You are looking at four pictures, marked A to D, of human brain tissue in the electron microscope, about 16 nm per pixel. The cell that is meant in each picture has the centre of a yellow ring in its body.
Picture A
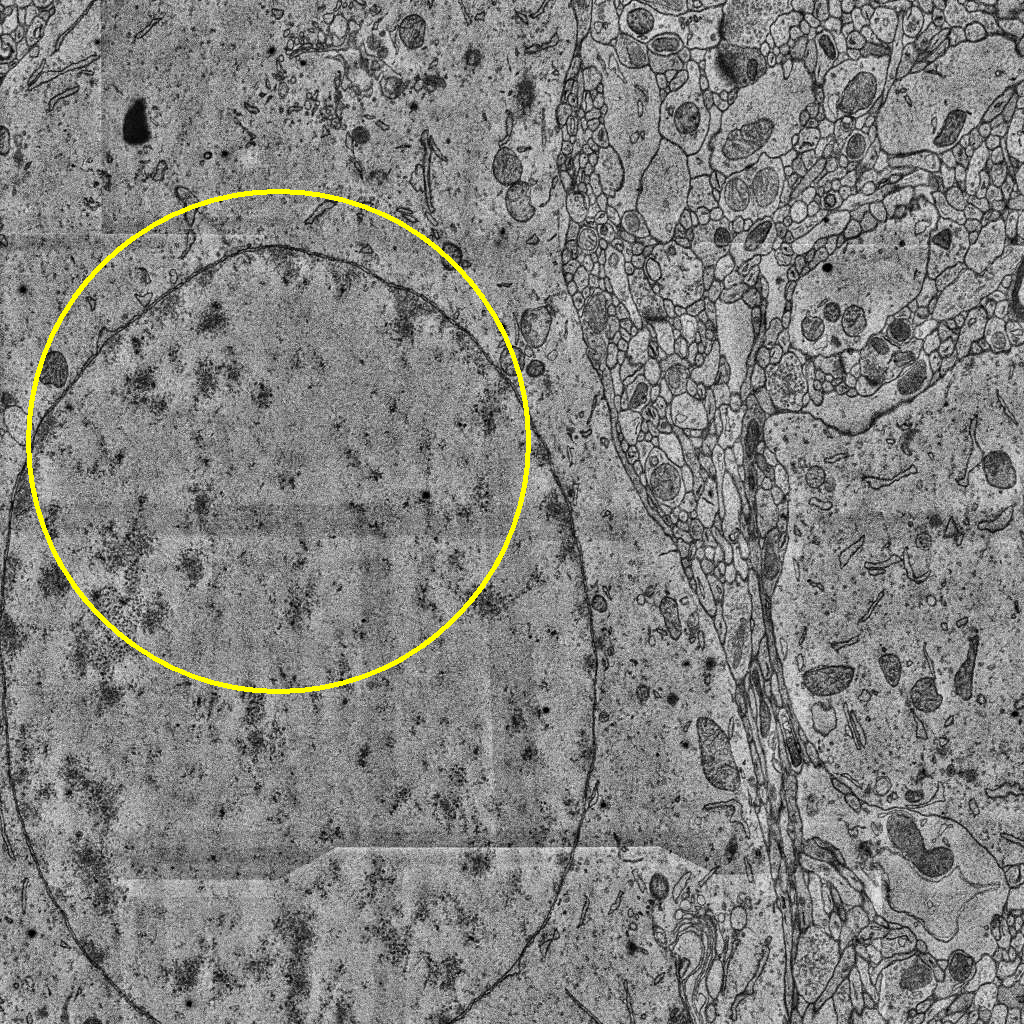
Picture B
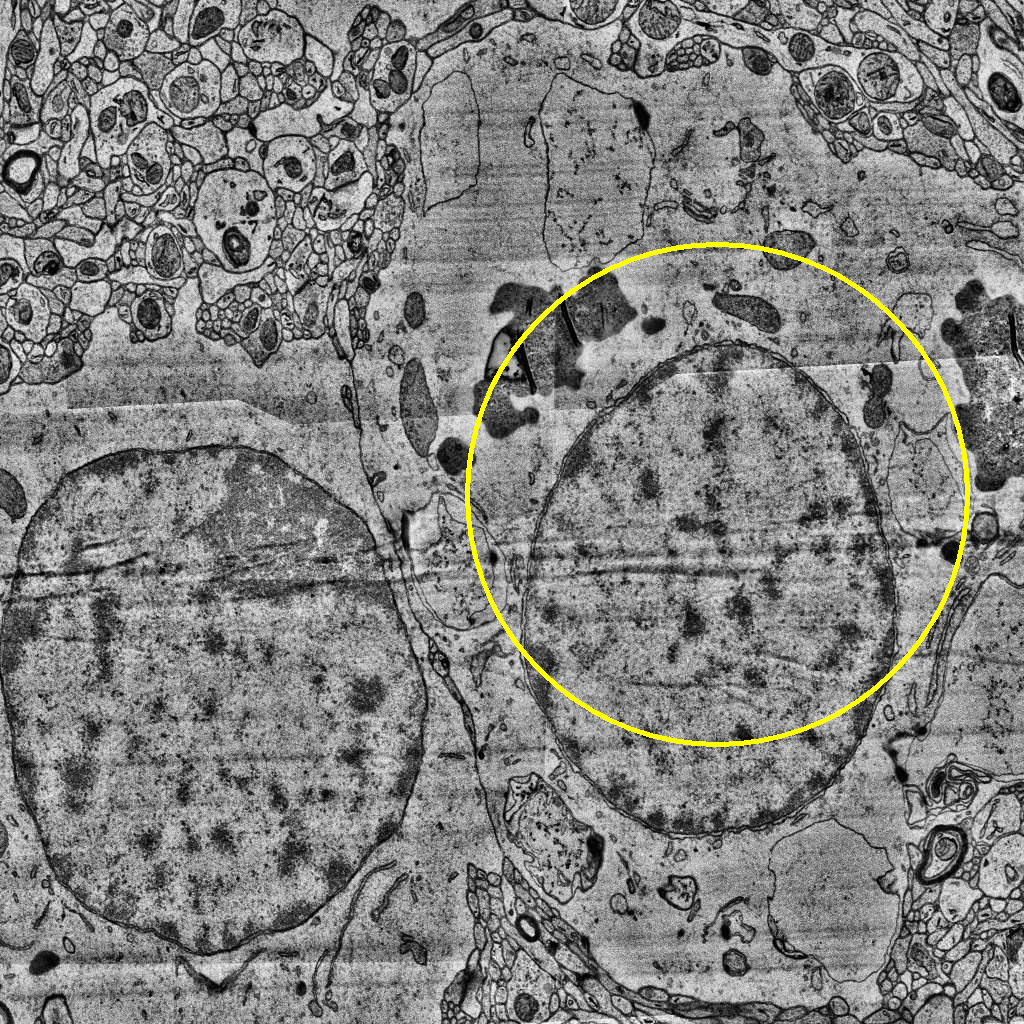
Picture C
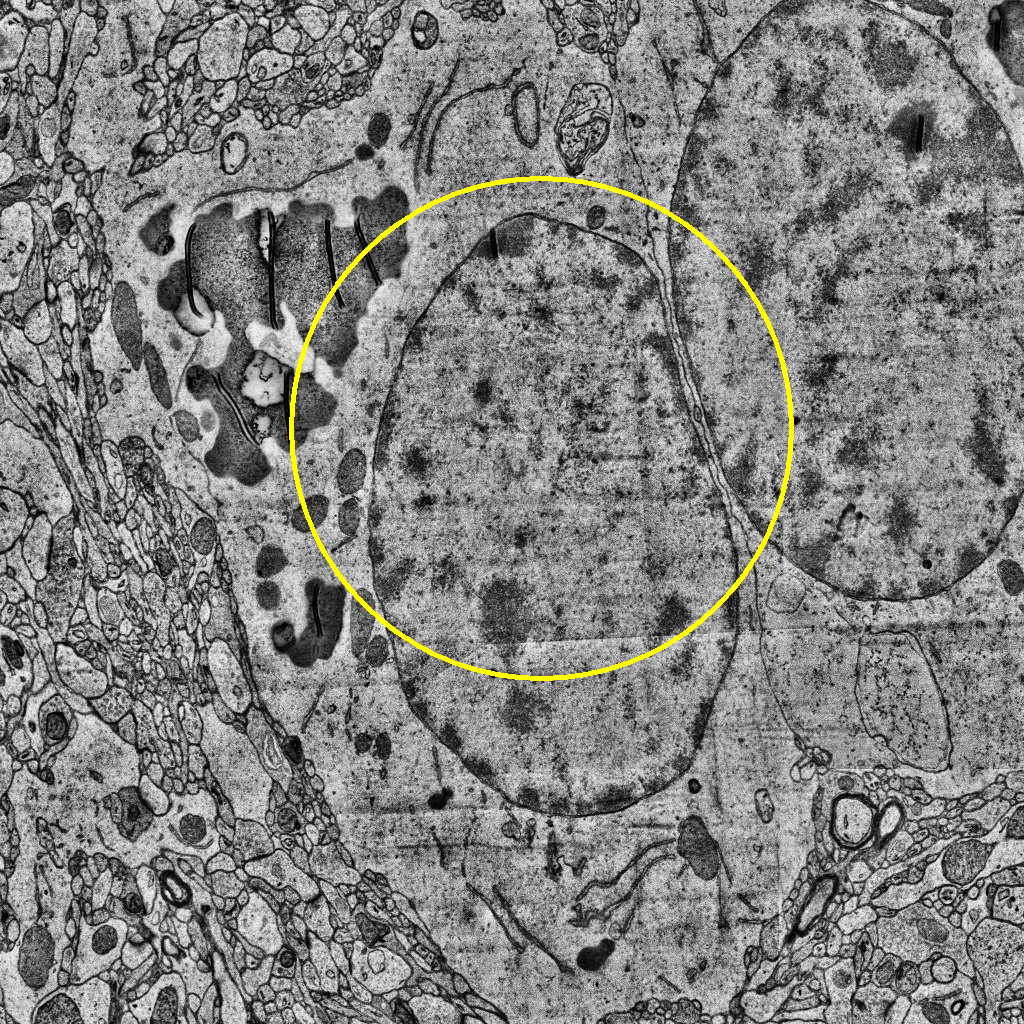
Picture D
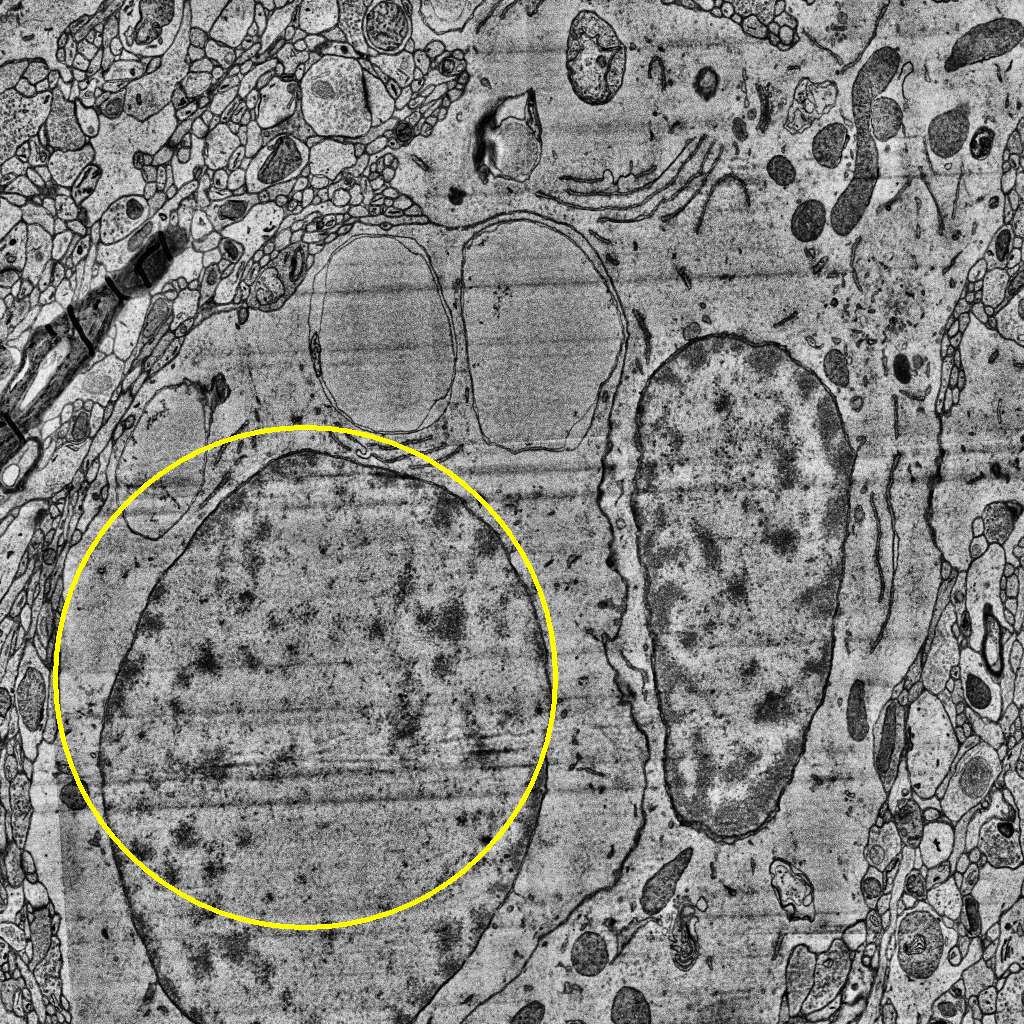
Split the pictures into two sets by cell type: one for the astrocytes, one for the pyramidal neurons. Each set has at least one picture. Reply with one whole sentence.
Pictures B, C and D show astrocytes; picture A shows a pyramidal neuron.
